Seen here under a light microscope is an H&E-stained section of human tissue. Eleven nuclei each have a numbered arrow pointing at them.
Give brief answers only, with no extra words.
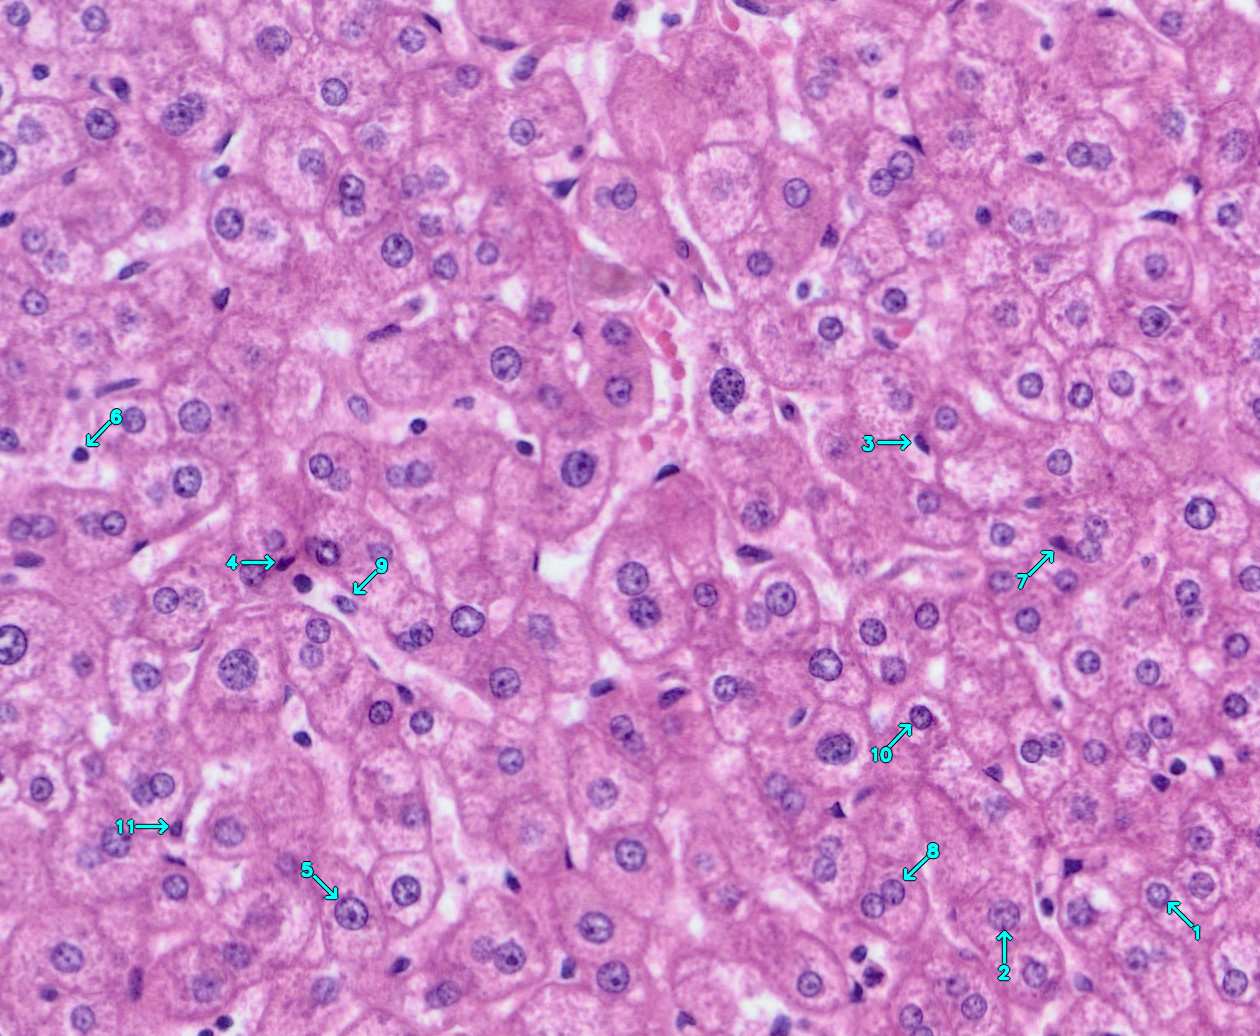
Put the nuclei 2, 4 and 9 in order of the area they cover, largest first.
2, 9, 4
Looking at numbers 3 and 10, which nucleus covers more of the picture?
10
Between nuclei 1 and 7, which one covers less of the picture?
7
